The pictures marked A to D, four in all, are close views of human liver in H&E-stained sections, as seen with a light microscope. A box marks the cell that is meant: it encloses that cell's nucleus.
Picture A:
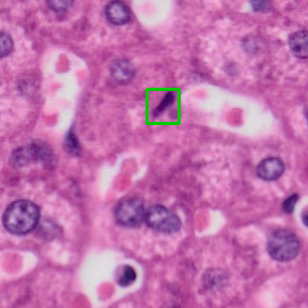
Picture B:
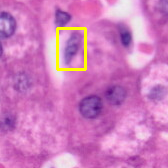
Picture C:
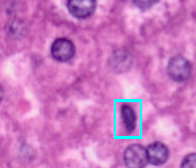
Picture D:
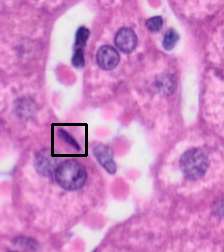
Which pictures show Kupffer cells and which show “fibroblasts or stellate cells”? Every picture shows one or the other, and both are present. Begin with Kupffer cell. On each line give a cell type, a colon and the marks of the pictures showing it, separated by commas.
Kupffer cell: B, C
fibroblast or stellate cell: A, D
